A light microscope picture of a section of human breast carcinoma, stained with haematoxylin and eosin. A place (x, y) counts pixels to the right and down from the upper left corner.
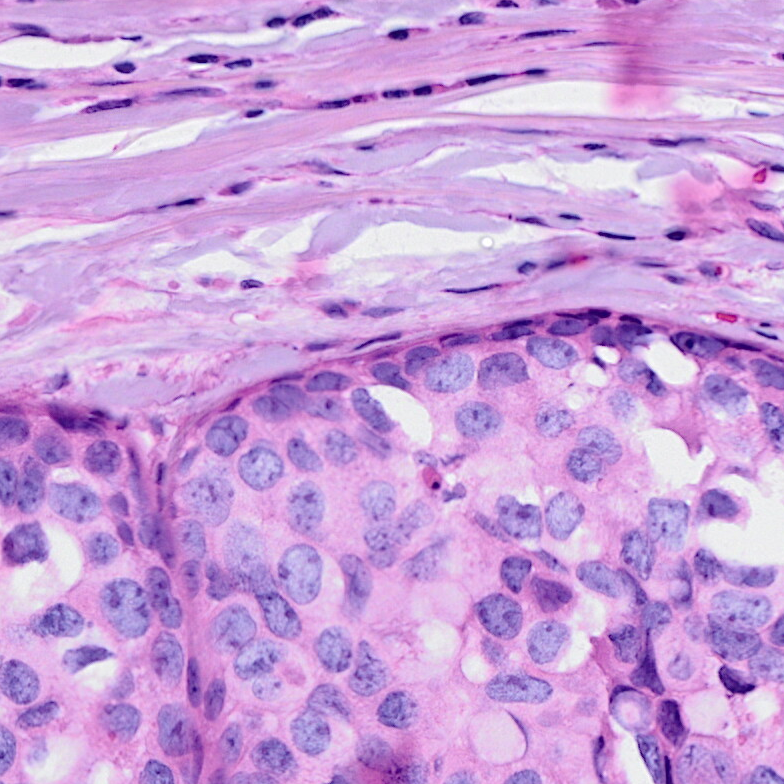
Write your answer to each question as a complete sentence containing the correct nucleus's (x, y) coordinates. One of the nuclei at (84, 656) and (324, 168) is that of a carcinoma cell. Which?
The nucleus of a carcinoma cell is the one found at (84, 656), not the other.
